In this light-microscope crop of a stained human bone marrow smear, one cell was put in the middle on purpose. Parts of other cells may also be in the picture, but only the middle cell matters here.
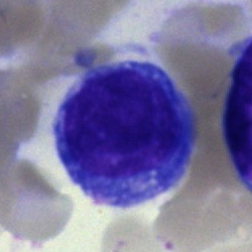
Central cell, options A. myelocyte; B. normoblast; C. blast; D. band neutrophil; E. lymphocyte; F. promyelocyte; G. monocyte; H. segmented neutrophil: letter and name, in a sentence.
Of the options given, C is correct, the central cell being a blast.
